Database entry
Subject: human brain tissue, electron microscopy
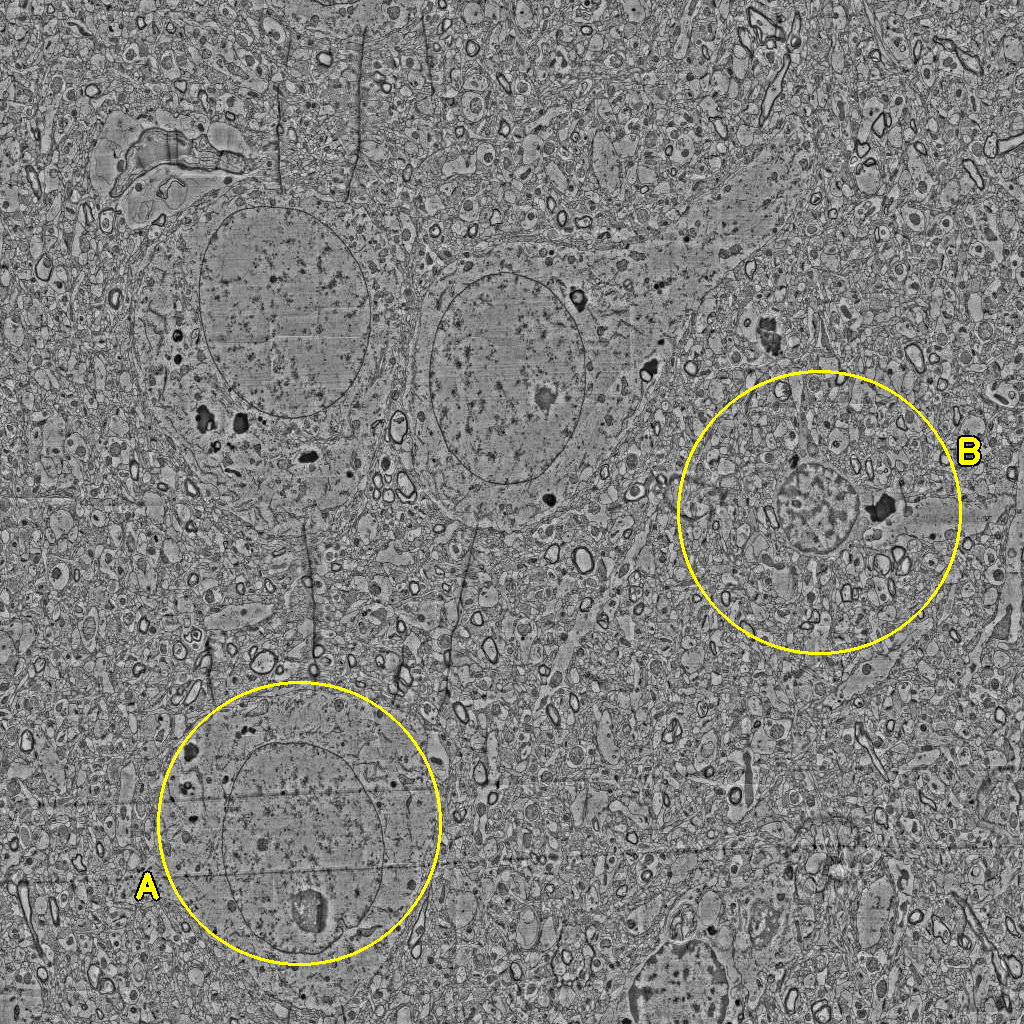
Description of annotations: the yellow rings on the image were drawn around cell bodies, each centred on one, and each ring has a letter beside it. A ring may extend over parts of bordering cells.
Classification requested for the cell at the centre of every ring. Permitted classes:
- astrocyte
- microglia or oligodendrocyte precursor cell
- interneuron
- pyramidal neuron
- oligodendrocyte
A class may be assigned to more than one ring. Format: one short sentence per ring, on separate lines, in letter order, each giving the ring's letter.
The cell body at the centre of ring A is a pyramidal neuron.
The cell body at the centre of ring B is an oligodendrocyte.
